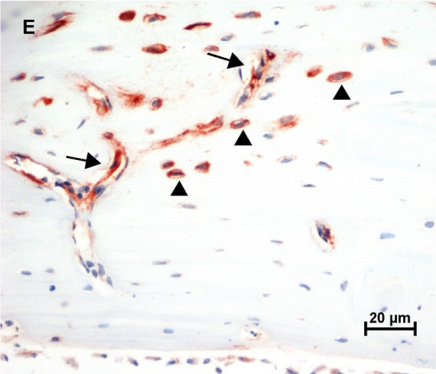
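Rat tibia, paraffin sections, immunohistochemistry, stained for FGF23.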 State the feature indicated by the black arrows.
Capillary blood vessels.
